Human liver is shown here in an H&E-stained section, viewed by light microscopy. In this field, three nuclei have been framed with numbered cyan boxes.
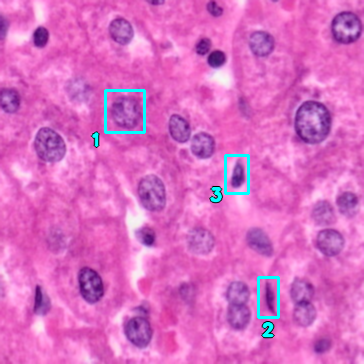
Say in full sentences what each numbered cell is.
Cell 1 is a hepatocyte, cell 2 is a fibroblast or stellate cell and cell 3 is a lymphocyte.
